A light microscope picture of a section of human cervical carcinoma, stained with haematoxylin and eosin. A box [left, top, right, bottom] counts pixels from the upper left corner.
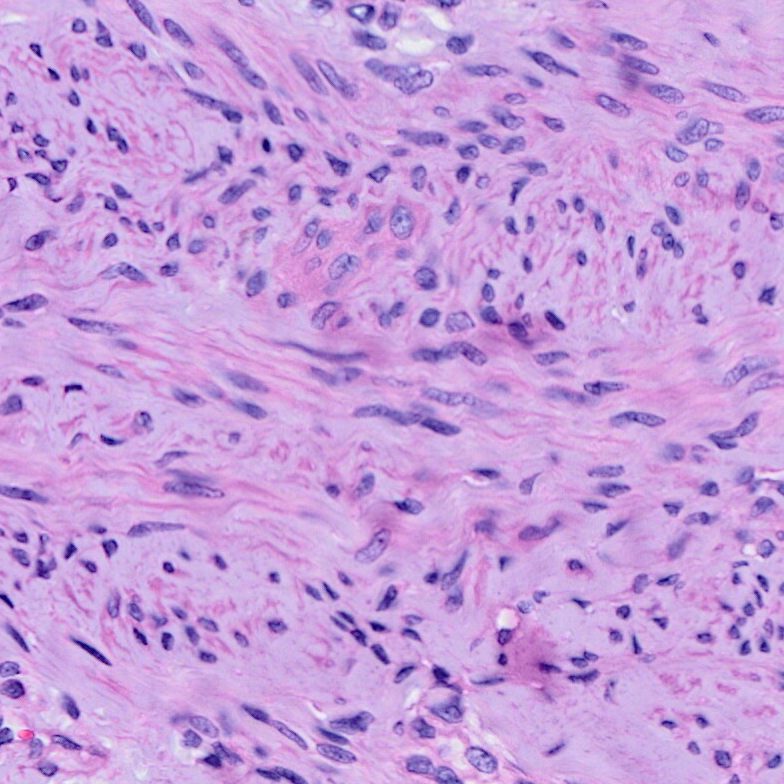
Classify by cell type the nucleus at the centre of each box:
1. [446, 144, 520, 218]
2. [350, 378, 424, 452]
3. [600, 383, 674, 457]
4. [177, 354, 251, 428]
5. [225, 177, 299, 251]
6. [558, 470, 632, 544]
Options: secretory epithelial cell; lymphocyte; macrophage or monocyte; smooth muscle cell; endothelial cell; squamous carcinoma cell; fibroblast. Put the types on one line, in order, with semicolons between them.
smooth muscle cell; fibroblast; fibroblast; smooth muscle cell; smooth muscle cell; fibroblast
